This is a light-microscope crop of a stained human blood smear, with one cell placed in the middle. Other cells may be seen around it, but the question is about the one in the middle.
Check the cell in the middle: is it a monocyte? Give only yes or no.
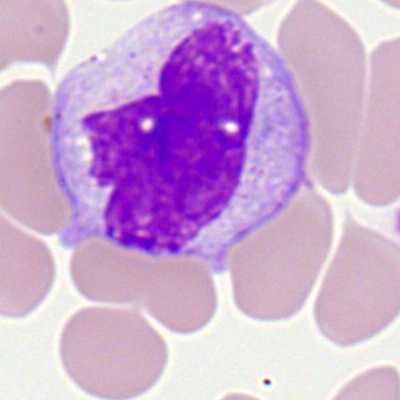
yes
